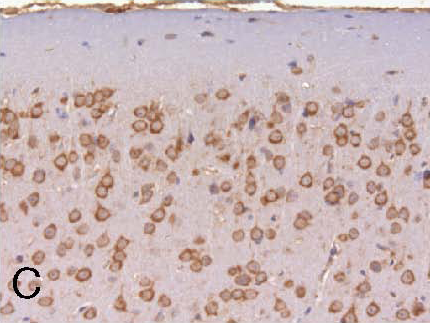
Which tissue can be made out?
Cortical.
